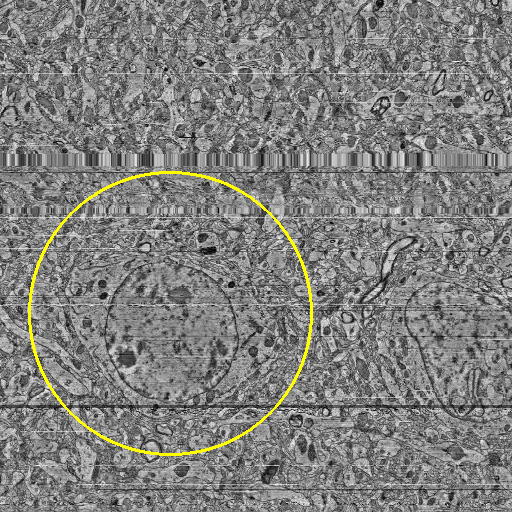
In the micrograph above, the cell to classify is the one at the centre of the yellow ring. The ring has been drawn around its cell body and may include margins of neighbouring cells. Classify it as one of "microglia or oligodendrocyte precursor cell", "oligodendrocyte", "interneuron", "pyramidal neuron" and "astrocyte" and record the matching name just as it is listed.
pyramidal neuron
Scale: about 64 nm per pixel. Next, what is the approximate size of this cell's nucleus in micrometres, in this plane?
About 10 by 9 micrometers, in this plane.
